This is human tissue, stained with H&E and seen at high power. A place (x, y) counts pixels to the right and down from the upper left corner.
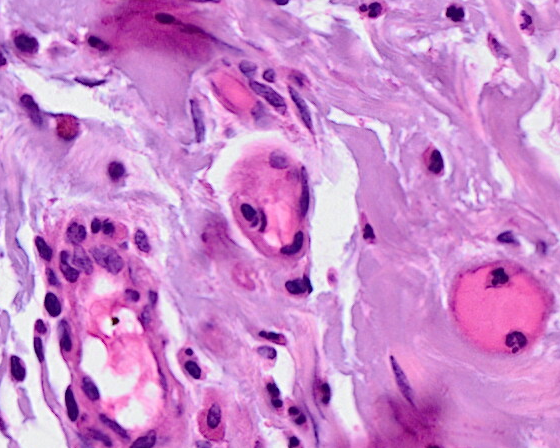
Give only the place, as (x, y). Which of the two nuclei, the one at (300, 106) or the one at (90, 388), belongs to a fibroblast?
(300, 106)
